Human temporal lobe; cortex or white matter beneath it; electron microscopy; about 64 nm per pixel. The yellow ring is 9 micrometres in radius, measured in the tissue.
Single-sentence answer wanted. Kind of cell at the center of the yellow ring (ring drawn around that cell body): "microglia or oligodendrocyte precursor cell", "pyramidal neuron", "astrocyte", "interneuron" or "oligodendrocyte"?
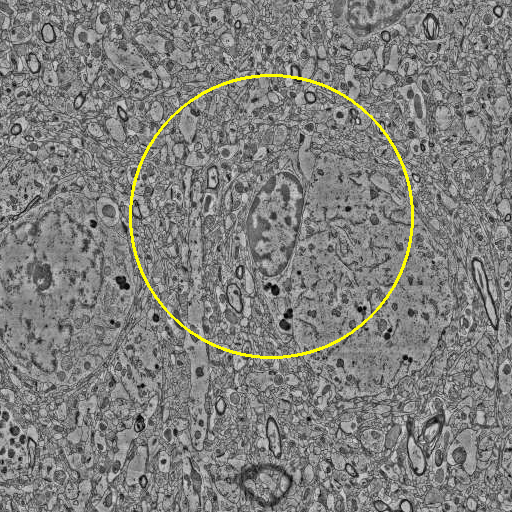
The cell centered in the ring is a microglial cell or oligodendrocyte precursor cell.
